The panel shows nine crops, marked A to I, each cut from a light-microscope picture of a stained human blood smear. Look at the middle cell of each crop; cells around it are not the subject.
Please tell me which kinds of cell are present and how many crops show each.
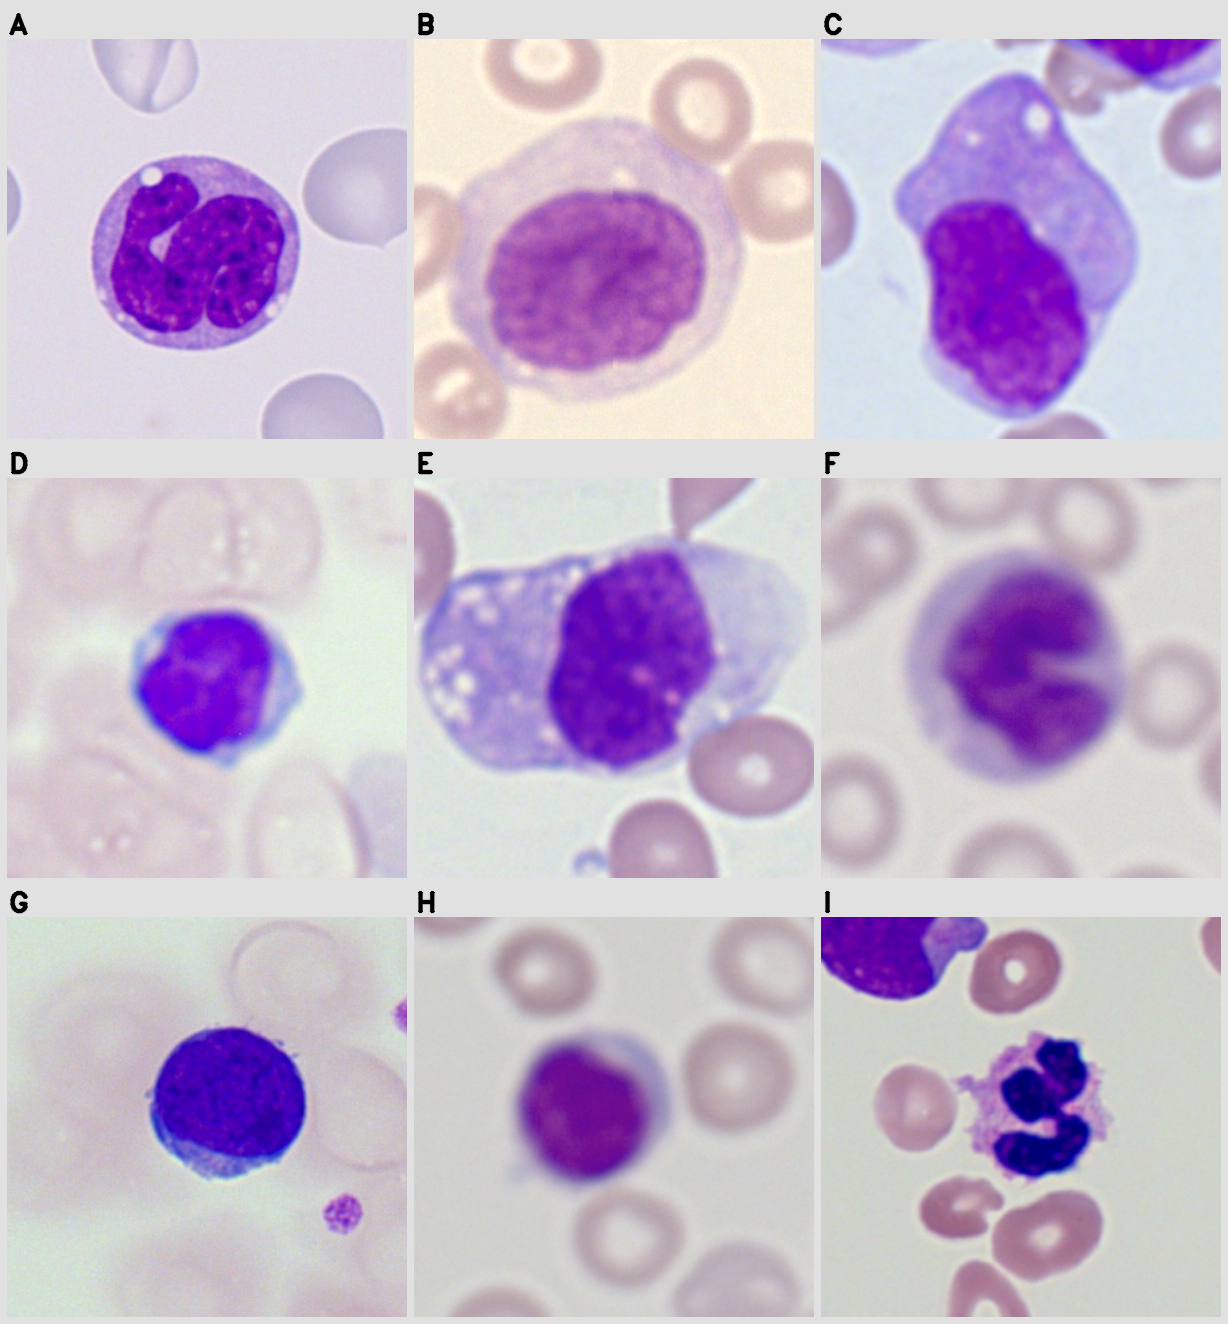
monocyte: 5
lymphocyte: 3
neutrophil: 1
